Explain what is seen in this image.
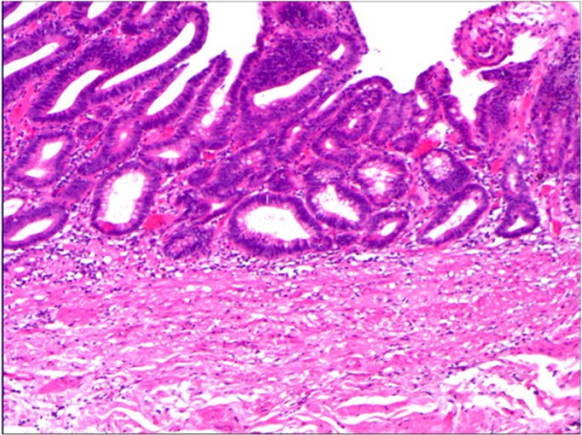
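Glandular mucosa with closely packed, irregularly shaped glands lined by a tall epithelium whose cells stain deep purple. The glands vary in size and branch, with little stroma between them. Beneath, a band of pink fibrous and muscular tissue with scattered small nuclei lies below the glands.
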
